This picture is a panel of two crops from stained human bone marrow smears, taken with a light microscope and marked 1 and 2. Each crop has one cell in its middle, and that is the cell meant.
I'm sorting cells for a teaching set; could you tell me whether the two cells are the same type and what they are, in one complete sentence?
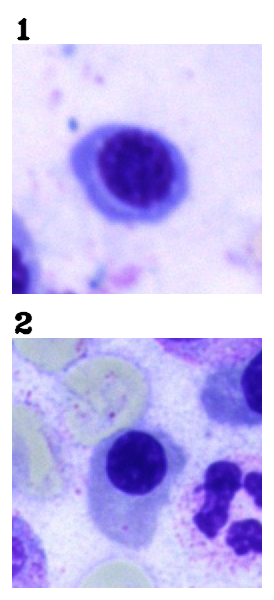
Yes, both crops show a cell each, and these are erythroblasts.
